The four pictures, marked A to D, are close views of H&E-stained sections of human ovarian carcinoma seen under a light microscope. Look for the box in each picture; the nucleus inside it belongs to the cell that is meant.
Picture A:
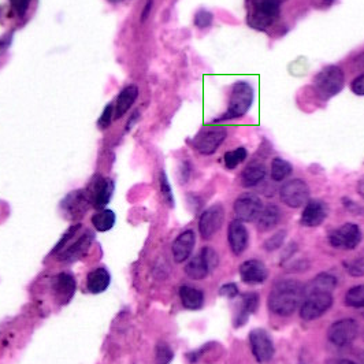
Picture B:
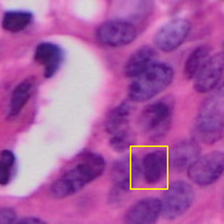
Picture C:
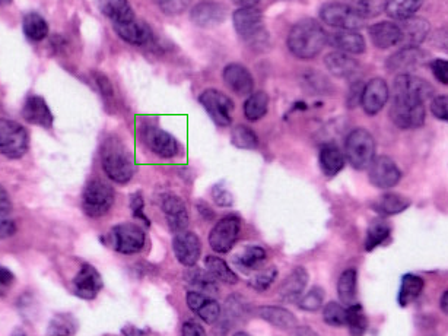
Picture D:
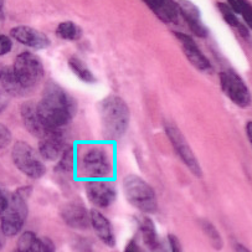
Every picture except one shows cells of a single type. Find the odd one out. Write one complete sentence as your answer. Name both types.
All pictures except A show carcinoma cells; picture A shows a “macrophage or monocyte”.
